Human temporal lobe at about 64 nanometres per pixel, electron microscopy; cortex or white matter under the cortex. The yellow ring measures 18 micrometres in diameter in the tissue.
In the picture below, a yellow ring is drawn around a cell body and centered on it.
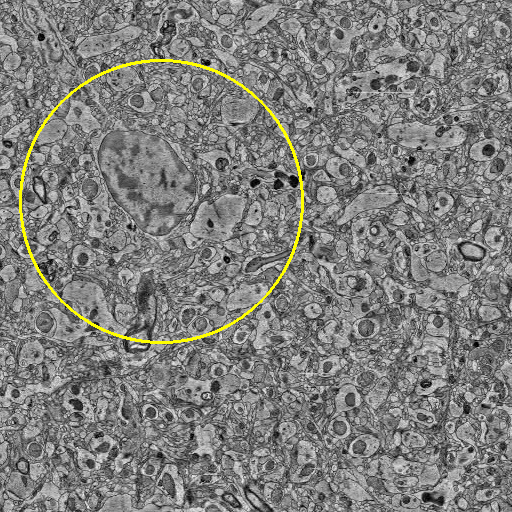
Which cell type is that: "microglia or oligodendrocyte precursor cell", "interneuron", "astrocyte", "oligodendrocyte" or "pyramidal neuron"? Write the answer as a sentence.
The cell centered in the ring is a microglial cell or oligodendrocyte precursor cell.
